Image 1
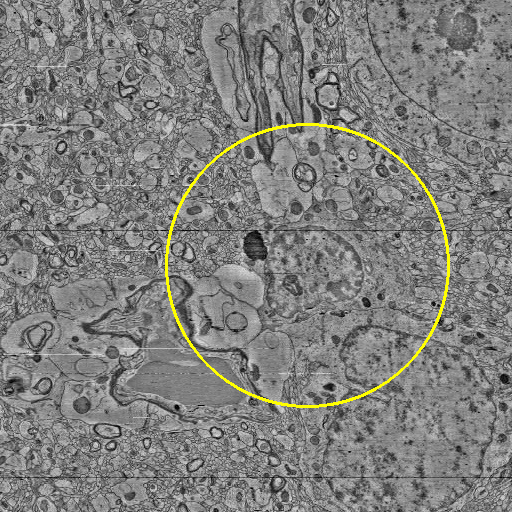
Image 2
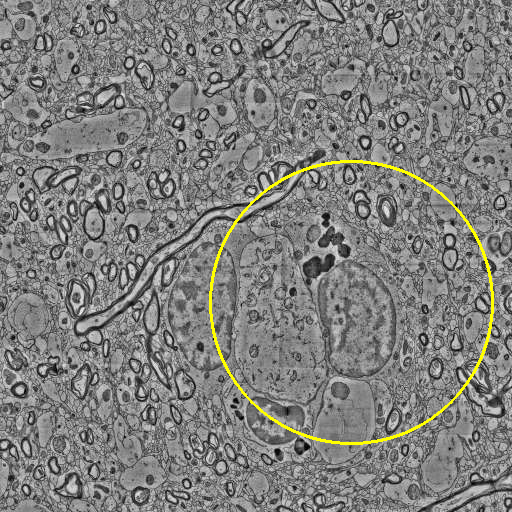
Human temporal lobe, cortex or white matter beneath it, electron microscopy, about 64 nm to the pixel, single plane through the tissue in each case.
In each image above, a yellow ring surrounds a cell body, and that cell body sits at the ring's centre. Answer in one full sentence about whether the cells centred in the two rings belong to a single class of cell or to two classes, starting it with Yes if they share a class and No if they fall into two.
Yes, the cells centred in the two yellow rings belong to a single class of cell.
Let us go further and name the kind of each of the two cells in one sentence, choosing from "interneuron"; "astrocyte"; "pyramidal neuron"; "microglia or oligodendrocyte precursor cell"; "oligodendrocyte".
The cell in the first picture is an oligodendrocyte, and so is the one in the second.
